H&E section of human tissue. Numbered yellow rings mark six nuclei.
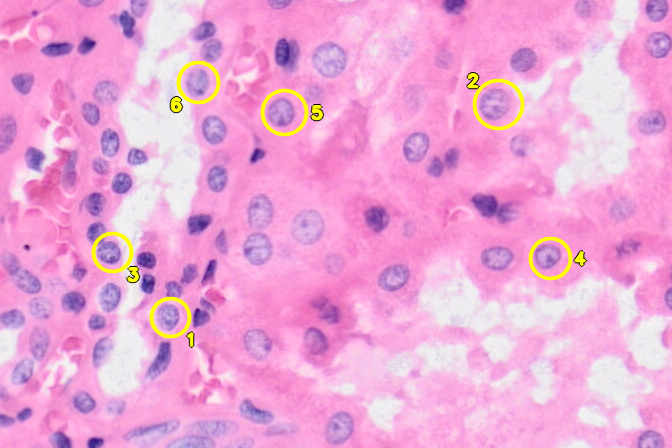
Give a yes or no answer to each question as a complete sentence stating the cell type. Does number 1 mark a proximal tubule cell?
No, instead of a proximal tubule cell, the cell with number 1 is a collecting duct cell.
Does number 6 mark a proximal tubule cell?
No, the cell carrying number 6 is a collecting duct cell, not a proximal tubule cell.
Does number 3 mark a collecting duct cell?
Yes, among the marked cells, the one with number 3 is a collecting duct cell.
